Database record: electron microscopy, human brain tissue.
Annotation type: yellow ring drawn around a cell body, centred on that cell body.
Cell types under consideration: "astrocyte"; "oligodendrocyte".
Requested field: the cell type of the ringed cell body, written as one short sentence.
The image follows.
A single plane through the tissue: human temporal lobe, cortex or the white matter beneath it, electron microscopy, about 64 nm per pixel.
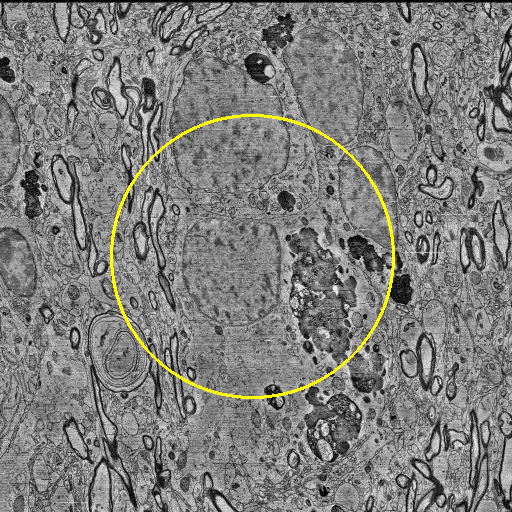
The ringed cell body represents an astrocyte.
